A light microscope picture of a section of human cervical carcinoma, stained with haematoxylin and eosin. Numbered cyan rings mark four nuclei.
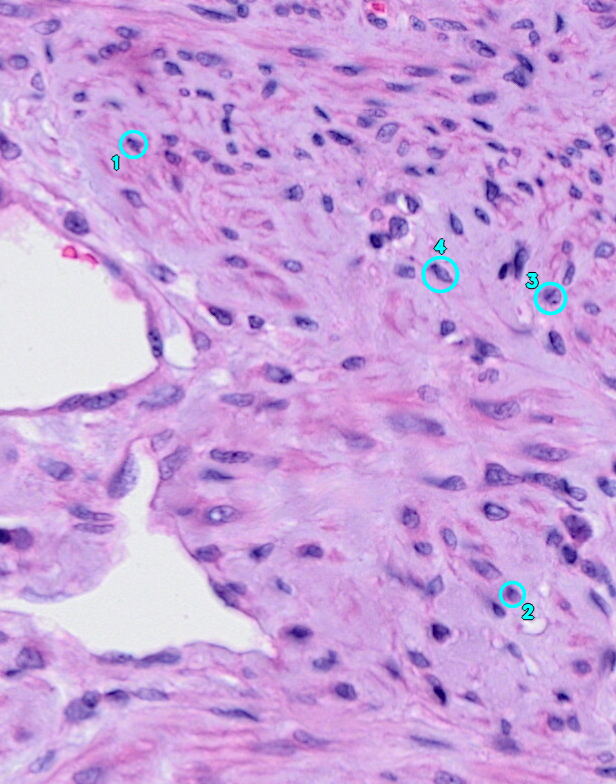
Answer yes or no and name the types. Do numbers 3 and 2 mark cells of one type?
Yes, in this section cells 3 and 2 are both smooth muscle cells.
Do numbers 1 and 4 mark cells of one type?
No, cell 1 is classed as a smooth muscle cell and cell 4 as a fibroblast.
